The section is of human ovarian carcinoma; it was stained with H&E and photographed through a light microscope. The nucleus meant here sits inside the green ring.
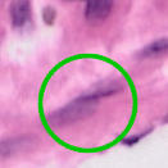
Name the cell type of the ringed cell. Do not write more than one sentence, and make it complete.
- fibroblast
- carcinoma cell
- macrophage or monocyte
Placed in its cell category, the ringed cell is a fibroblast.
